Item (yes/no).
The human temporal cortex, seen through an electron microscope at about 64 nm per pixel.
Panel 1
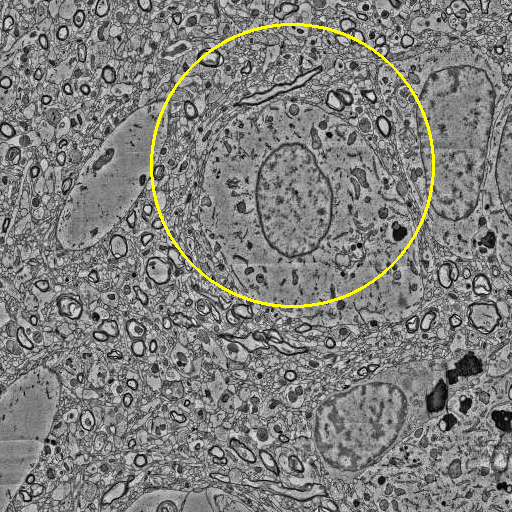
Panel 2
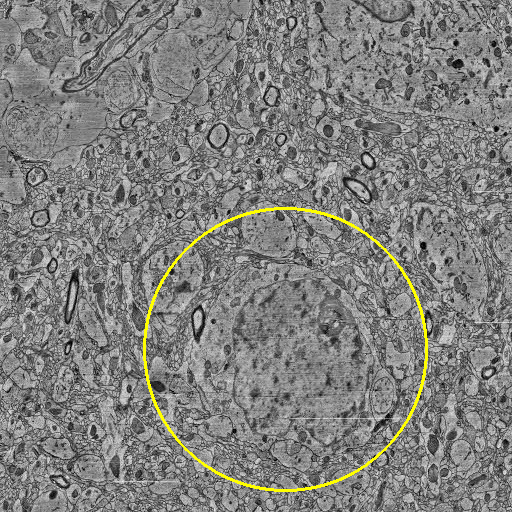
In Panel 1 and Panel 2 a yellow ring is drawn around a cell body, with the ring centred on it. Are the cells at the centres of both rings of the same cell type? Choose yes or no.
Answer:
no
